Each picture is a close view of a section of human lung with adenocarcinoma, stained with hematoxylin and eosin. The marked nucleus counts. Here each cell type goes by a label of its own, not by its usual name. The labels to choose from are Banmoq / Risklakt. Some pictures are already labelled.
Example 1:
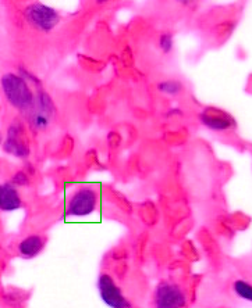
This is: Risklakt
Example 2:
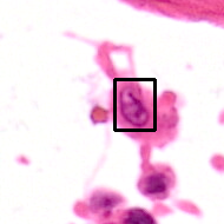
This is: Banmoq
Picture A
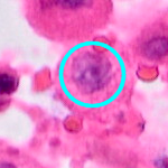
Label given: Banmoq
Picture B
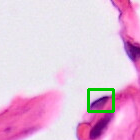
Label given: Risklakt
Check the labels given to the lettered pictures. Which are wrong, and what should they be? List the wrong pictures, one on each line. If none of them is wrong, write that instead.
All labels are correct.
